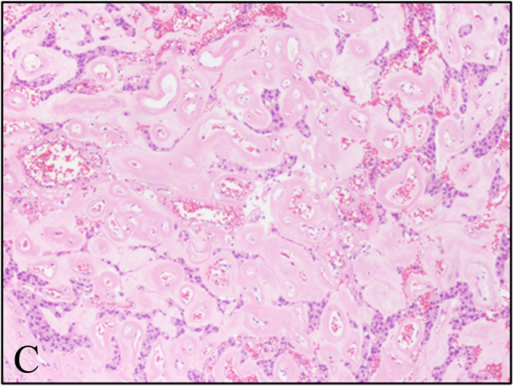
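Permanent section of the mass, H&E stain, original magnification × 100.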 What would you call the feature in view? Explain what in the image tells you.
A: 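Homogenous eosinophilic materials. Broad areas of smooth, pale pink material lie between the cell cords. The material is glassy and without nuclei.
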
